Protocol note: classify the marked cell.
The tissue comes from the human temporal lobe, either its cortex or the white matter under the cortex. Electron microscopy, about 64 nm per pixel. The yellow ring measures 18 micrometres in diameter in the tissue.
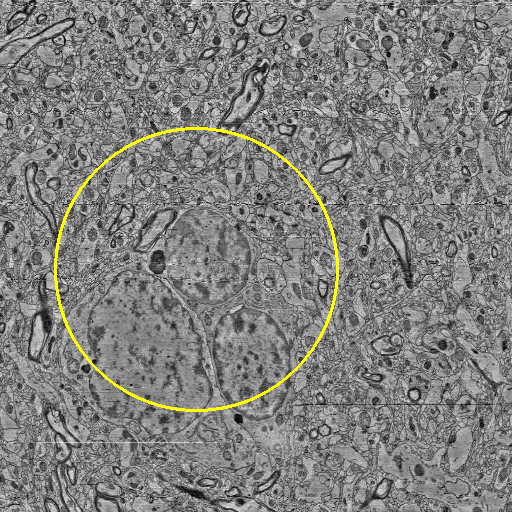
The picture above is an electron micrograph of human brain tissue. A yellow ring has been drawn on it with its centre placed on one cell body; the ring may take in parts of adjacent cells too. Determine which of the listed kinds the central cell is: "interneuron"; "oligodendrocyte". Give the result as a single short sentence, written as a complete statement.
The central cell is an oligodendrocyte.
